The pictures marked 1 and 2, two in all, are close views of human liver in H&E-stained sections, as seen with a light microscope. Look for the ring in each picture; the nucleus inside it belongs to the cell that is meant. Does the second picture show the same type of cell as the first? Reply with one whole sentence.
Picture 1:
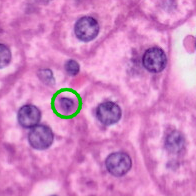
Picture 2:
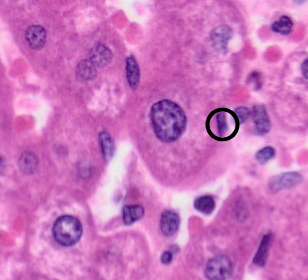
Yes, both cells are “fibroblasts or stellate cells”.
